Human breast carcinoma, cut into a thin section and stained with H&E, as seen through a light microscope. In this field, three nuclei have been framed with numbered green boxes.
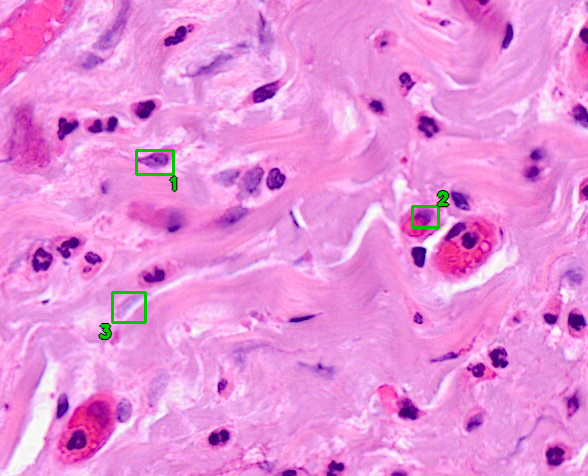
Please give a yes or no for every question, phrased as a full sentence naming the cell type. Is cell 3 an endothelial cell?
No, cell 3 is a fibroblast, not an endothelial cell.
